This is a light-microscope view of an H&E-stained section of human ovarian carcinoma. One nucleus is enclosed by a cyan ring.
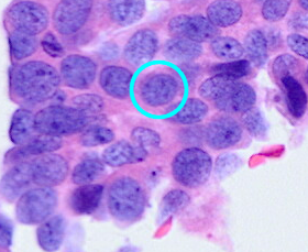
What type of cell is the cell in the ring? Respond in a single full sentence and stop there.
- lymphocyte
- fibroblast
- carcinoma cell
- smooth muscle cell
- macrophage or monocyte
With respect to cell type, the cell in the ring is a carcinoma cell.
